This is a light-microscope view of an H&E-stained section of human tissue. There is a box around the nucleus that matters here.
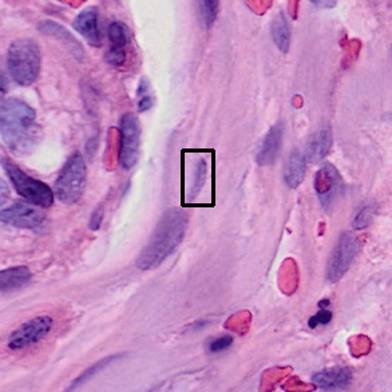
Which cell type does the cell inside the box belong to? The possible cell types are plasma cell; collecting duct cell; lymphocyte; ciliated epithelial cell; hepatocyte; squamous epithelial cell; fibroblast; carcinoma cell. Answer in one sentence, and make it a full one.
Histopathologically, the cell inside the box is a fibroblast.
